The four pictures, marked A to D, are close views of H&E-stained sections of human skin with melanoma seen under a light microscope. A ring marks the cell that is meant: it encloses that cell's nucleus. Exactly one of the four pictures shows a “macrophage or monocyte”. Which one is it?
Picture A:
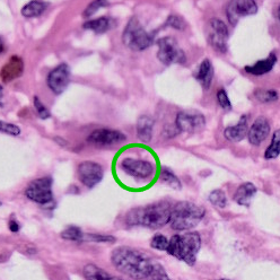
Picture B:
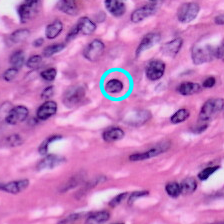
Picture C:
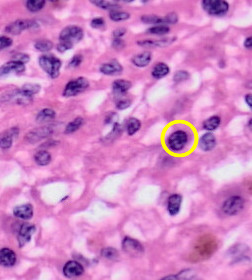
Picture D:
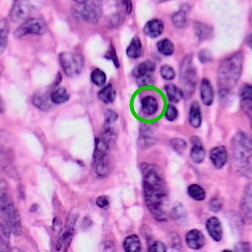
A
